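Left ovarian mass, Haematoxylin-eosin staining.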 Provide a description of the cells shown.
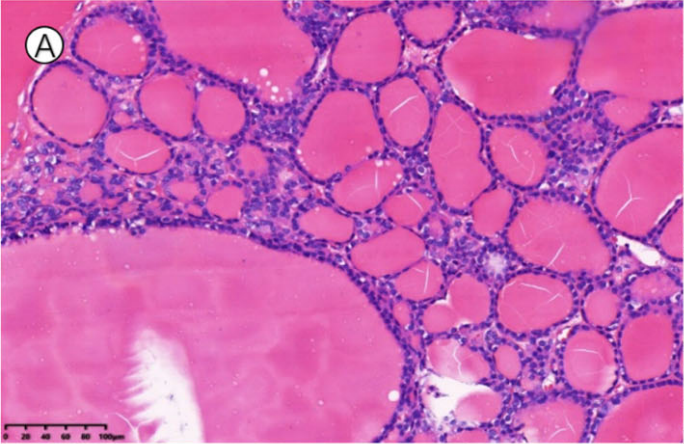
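Thyroid follicles are seen, closely packed round spaces of widely varying size, from small ones to one very large follicle. Each is filled with homogeneous pink colloid, which shows fine cracks and a few pale clefts. The follicles are lined by a single layer of small epithelial cells with uniform, round, dark purple nuclei. Between the follicles lies scant tissue holding further small clusters of cells.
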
